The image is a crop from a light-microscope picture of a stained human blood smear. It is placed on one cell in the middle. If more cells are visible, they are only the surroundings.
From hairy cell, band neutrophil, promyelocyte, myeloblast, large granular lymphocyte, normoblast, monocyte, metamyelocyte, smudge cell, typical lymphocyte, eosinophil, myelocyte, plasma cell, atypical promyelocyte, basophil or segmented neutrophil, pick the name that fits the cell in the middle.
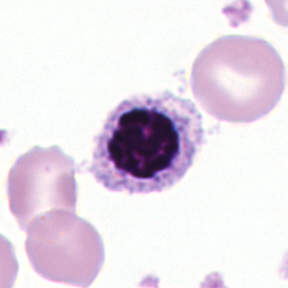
normoblast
